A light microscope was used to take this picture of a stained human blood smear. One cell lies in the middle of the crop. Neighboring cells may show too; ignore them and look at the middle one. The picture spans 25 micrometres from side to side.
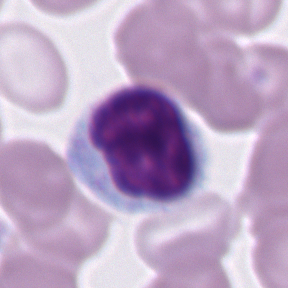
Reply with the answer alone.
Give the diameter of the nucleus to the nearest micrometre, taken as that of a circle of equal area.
9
